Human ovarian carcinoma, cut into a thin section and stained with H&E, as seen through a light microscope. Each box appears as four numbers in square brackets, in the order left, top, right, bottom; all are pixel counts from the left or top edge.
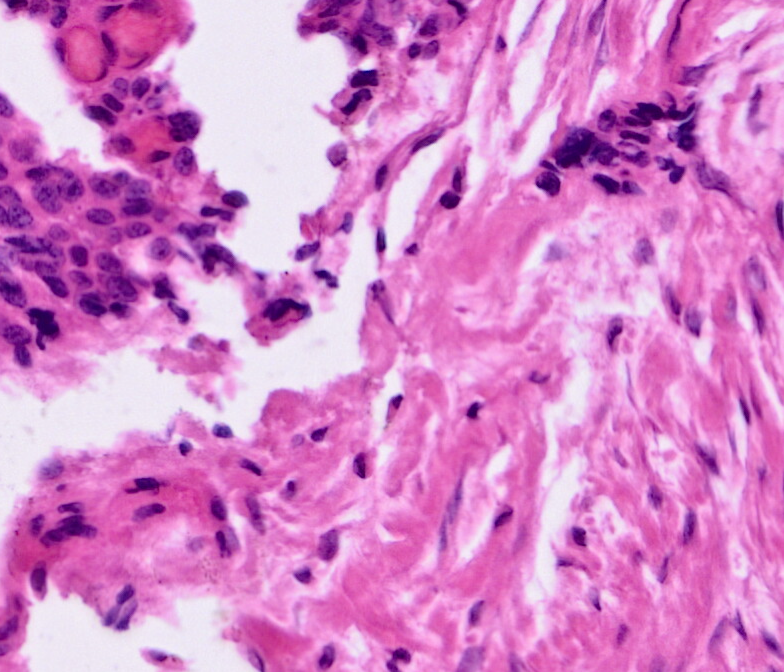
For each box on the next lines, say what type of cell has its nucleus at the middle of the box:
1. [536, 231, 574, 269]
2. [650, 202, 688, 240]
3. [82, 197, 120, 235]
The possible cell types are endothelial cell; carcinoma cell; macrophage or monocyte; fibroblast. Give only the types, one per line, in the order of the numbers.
fibroblast
fibroblast
carcinoma cell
